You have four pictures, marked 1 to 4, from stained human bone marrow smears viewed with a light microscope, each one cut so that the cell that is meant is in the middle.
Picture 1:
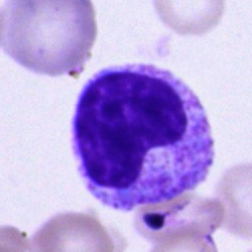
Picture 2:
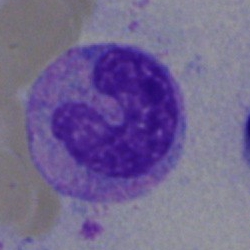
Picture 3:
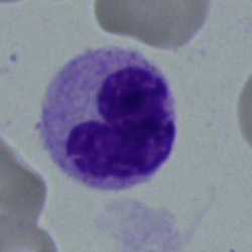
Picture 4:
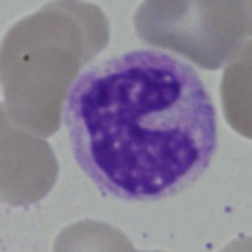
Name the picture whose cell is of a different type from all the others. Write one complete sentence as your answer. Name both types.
All pictures except 1 show band neutrophils; picture 1 shows a metamyelocyte.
